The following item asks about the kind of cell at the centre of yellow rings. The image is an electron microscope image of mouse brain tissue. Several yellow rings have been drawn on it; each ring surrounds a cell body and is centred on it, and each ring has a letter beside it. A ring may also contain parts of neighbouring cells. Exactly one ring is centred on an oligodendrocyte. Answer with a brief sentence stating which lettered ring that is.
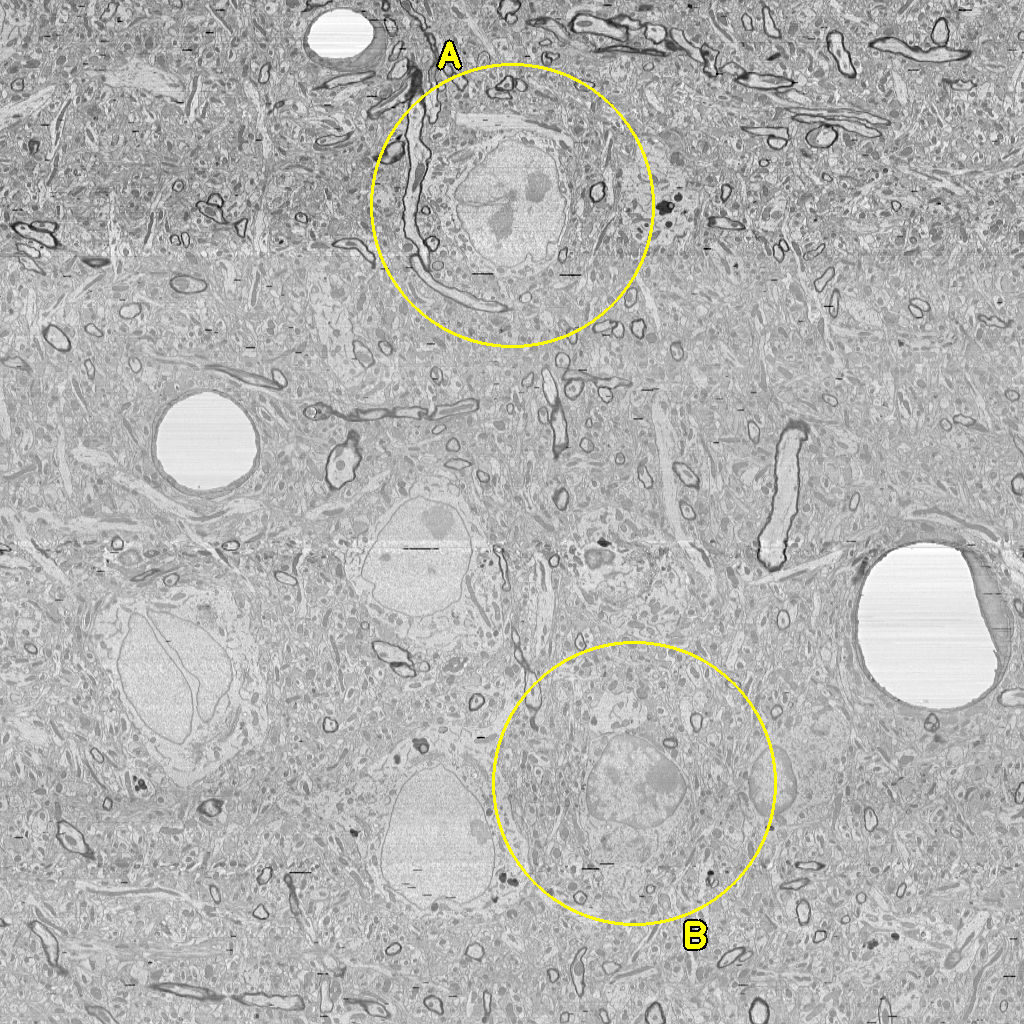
That is ring B.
